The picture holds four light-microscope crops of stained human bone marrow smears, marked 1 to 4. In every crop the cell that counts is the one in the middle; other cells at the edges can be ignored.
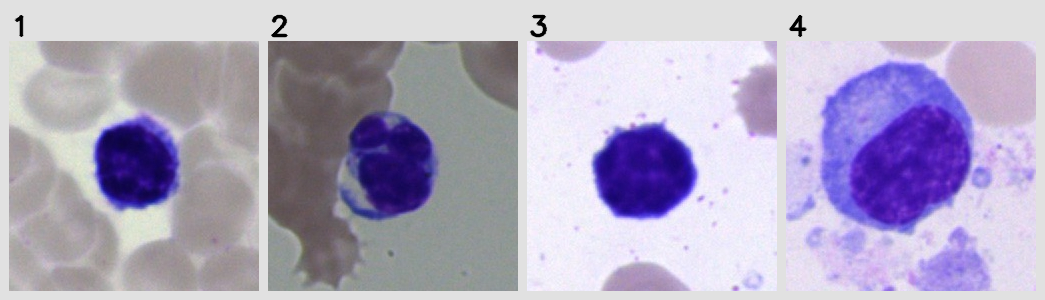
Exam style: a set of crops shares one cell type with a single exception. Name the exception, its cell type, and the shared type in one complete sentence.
Crop 4 shows a plasma cell, while all of the others show lymphocytes.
